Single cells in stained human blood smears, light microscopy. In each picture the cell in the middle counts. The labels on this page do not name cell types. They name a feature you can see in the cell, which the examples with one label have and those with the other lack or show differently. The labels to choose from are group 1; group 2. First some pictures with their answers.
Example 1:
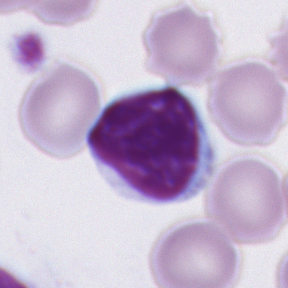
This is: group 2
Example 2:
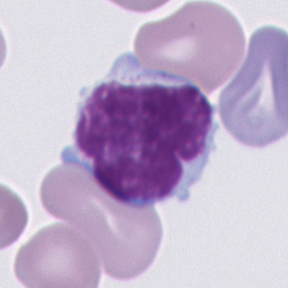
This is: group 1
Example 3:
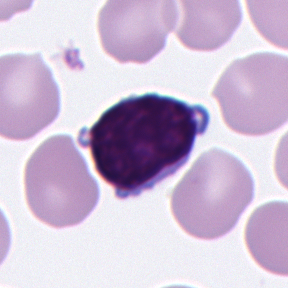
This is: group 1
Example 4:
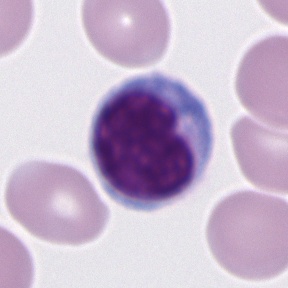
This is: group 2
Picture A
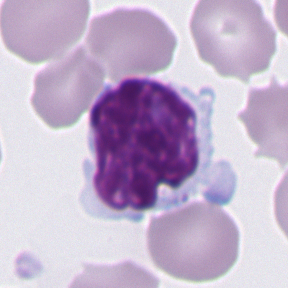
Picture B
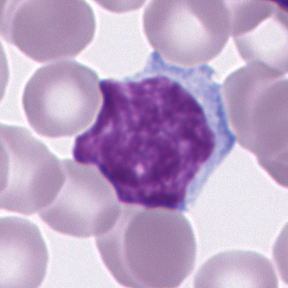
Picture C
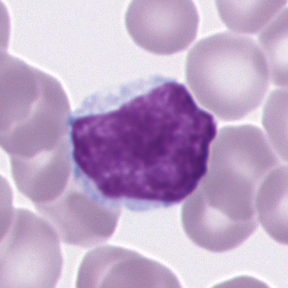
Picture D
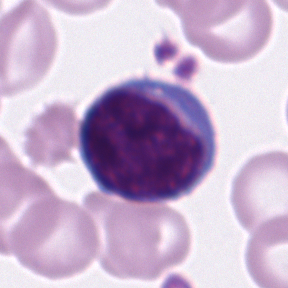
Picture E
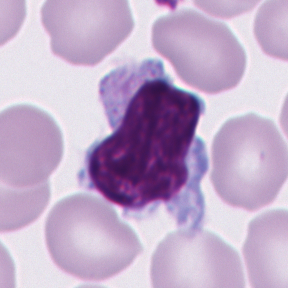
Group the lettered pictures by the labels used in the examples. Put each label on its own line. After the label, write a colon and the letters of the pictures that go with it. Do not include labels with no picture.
group 1: A, B, C, E
group 2: D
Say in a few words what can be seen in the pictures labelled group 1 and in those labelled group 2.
group 1, ragged outline or projections; group 2, smooth outline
